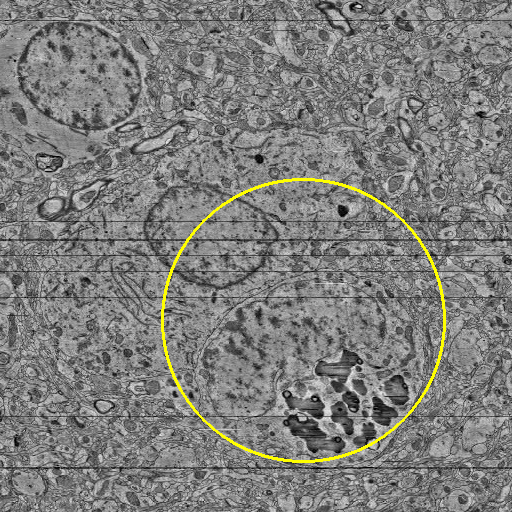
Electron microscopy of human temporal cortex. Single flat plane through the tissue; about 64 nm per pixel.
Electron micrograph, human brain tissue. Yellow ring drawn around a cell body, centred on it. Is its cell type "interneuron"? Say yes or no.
yes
